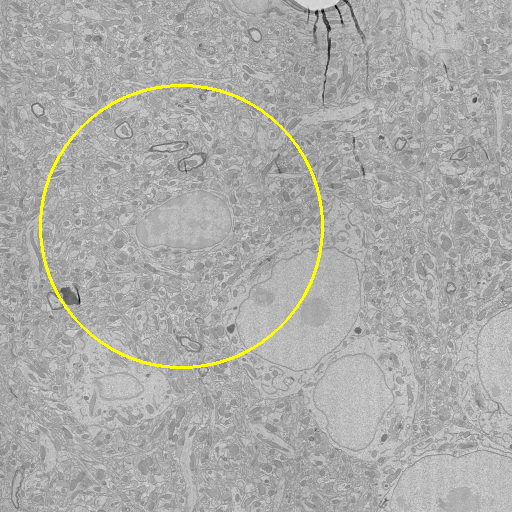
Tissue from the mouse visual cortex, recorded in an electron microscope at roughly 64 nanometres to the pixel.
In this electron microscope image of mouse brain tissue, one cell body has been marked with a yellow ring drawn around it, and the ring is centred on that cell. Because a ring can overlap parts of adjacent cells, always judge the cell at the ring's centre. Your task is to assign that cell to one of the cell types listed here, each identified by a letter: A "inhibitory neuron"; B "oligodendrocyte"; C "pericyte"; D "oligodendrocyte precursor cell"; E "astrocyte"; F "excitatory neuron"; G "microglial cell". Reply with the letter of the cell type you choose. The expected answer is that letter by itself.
G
